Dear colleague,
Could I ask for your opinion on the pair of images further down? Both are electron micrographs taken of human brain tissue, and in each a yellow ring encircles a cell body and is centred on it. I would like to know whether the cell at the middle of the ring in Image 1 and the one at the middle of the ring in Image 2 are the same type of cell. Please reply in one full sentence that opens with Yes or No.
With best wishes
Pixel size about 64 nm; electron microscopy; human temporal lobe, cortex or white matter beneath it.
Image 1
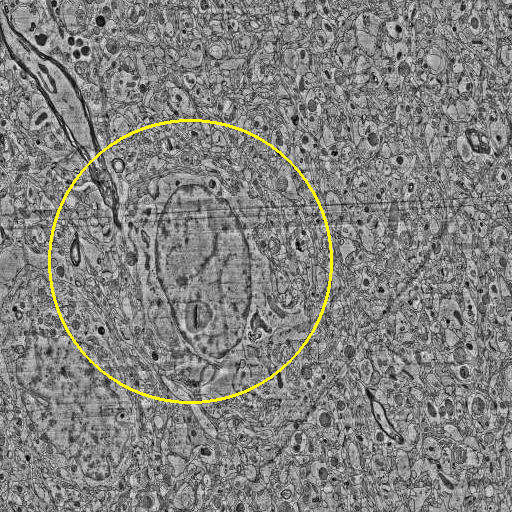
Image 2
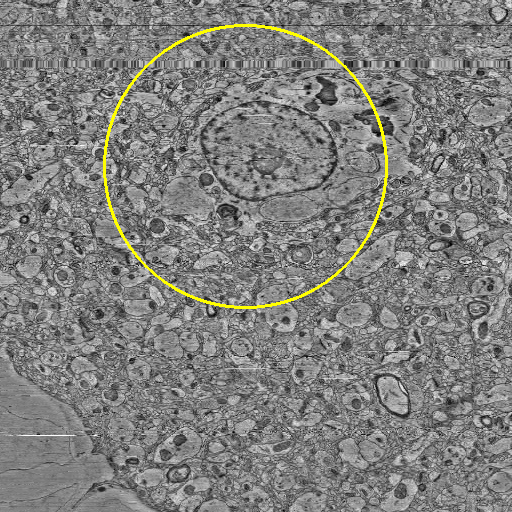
Yes, the cells at the ring centres in Image 1 and Image 2 are of one type.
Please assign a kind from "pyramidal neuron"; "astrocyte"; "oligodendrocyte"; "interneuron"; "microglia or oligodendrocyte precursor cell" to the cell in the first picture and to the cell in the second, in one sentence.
Both cells are the same kind, each one being an astrocyte.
